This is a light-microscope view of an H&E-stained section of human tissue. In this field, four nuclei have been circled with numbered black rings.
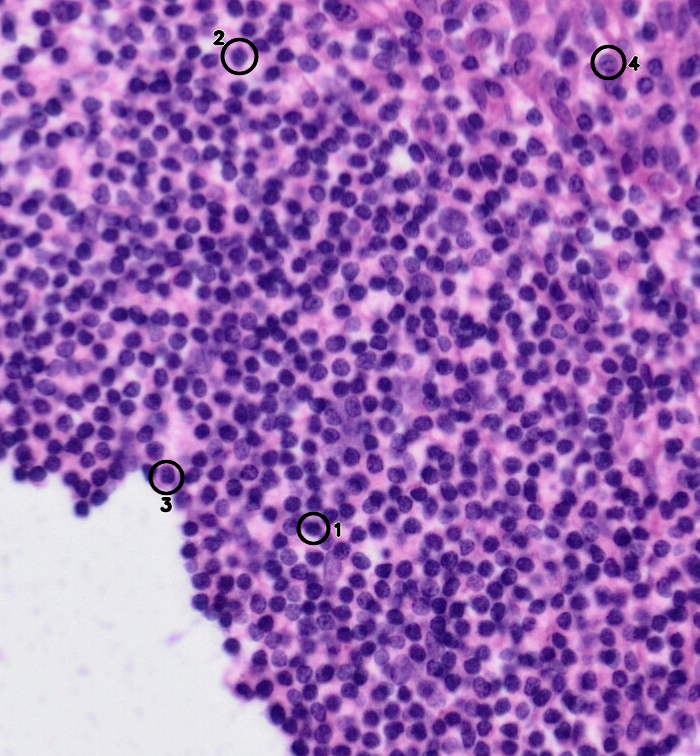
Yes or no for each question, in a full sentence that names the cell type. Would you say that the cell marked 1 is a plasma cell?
No, the cell identified by number 1 is a small lymphocyte, not a plasma cell.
